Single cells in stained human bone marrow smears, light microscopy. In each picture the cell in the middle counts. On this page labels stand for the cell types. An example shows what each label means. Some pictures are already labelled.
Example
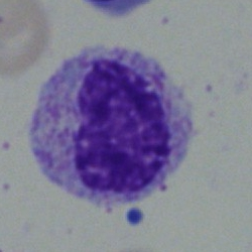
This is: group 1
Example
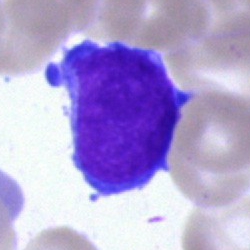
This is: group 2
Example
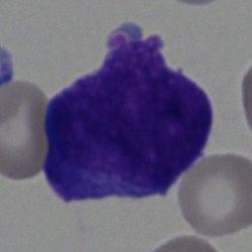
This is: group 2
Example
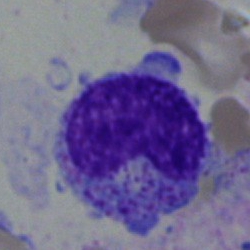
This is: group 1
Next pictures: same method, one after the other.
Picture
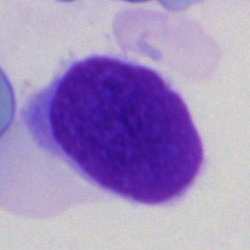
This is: group 2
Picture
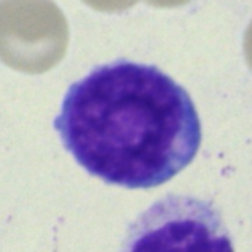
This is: group 2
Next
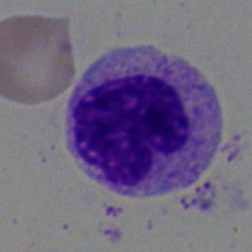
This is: group 1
